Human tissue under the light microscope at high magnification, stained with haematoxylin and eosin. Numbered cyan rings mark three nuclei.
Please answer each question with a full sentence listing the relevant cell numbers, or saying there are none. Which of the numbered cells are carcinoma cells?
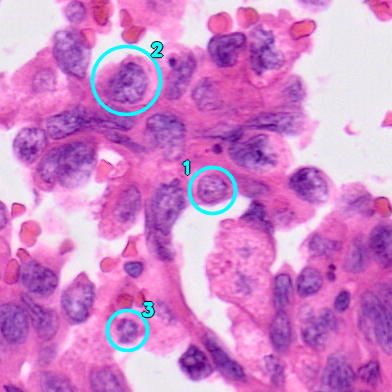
Cells 1 and 2 in the section are typed as carcinoma cells.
